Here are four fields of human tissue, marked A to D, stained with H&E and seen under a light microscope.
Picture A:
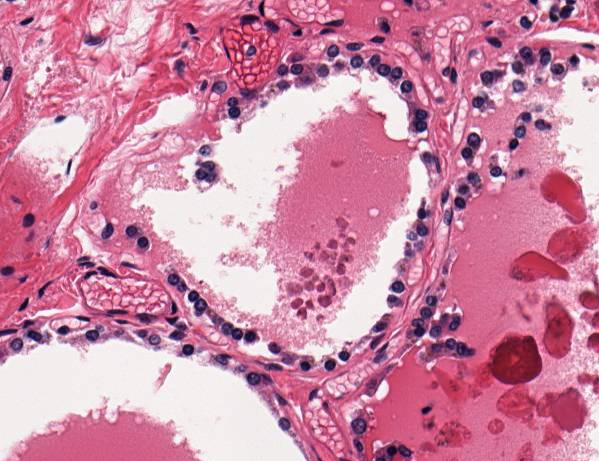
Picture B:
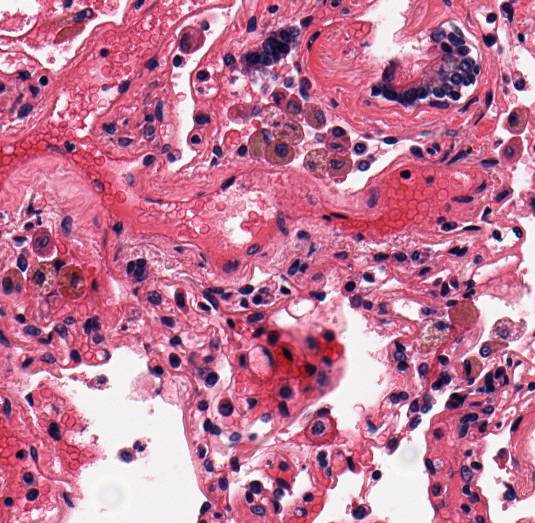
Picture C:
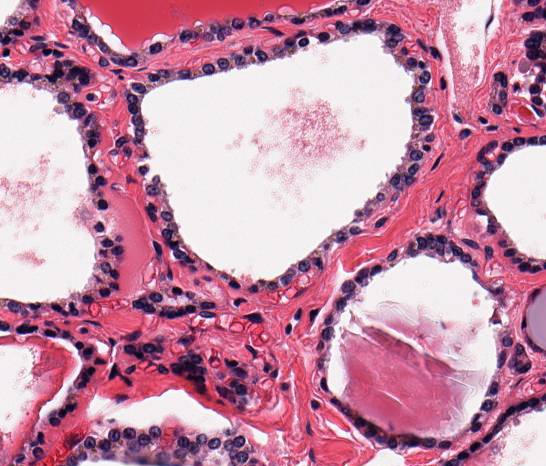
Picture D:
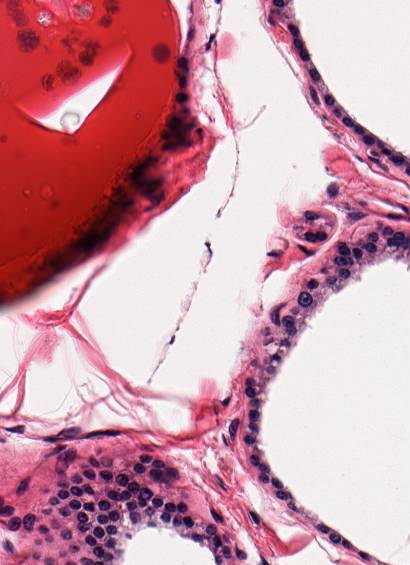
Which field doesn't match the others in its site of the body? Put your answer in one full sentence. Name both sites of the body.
All pictures except B come from the thyroid; picture B comes from the lung.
